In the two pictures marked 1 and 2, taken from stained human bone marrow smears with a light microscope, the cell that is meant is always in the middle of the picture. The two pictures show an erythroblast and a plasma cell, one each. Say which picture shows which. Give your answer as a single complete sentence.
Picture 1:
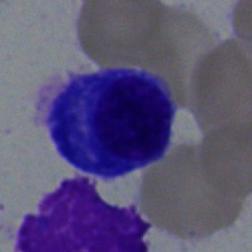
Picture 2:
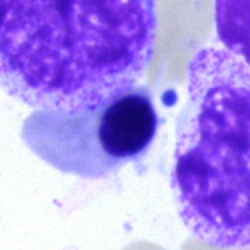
In picture 1 the cell is a plasma cell; in picture 2, an erythroblast.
